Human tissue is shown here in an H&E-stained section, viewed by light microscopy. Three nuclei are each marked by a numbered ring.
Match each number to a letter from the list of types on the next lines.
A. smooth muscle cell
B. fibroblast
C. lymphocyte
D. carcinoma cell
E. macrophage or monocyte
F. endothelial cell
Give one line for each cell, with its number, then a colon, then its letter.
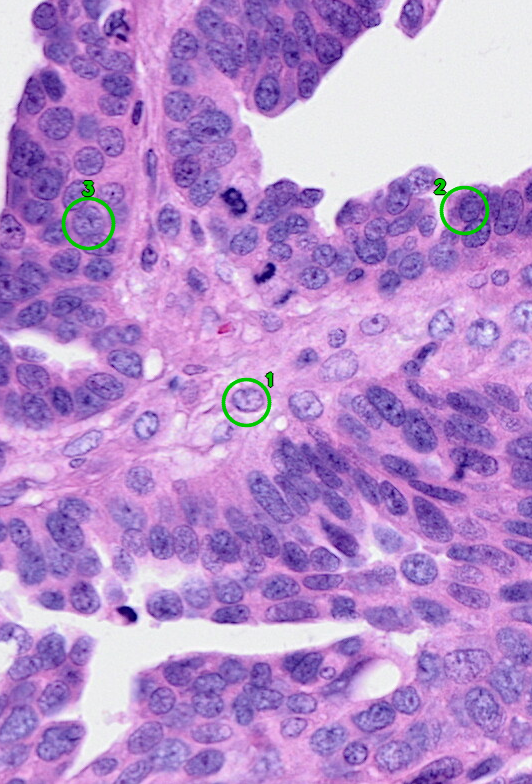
1: B
2: D
3: D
